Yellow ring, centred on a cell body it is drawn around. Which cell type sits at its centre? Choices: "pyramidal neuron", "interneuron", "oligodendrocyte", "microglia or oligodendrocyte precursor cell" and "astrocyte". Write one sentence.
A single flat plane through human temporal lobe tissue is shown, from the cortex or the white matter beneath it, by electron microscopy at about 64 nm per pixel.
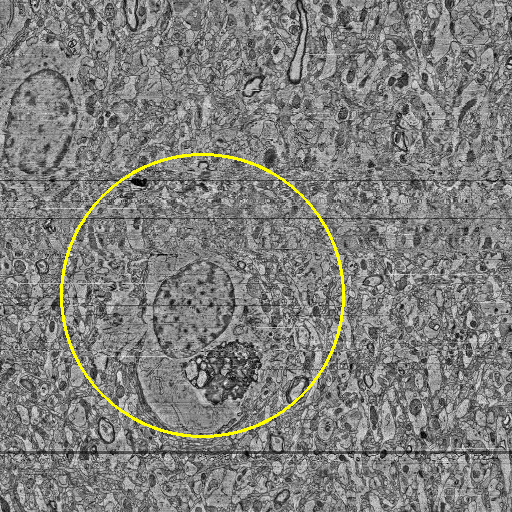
At the centre of the ring sits an astrocyte.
